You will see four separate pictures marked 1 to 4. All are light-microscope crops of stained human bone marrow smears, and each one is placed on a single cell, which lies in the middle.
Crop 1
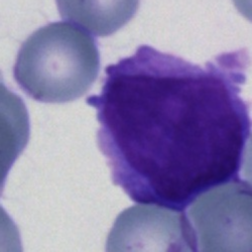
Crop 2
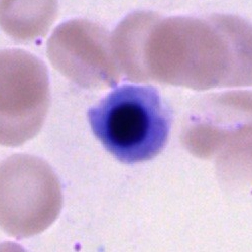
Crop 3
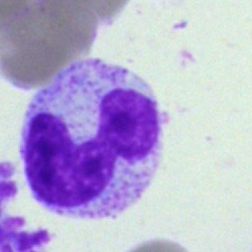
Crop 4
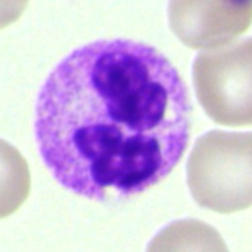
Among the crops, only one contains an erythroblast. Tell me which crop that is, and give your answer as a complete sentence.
Identified crop: 2, the one that shows an erythroblast.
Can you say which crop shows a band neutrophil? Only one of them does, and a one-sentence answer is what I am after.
In this set, crop 3 is the one showing a band neutrophil.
